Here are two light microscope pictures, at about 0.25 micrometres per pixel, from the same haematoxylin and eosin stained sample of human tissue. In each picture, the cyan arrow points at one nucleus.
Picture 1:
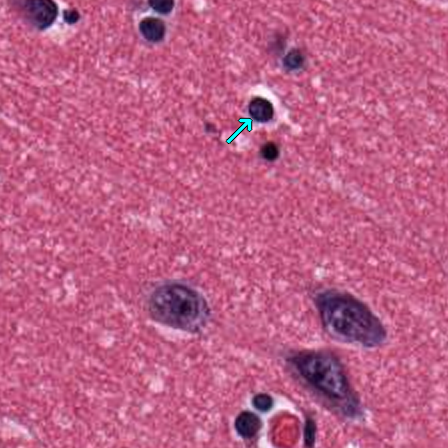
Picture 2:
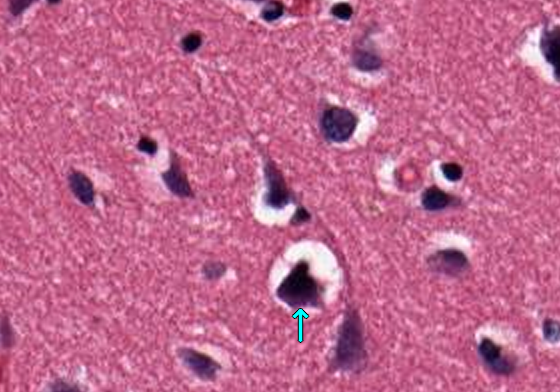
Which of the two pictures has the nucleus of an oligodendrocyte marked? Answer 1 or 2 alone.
1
